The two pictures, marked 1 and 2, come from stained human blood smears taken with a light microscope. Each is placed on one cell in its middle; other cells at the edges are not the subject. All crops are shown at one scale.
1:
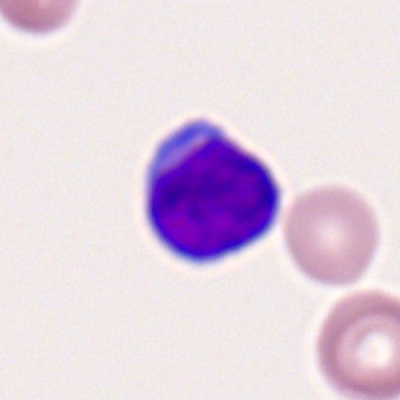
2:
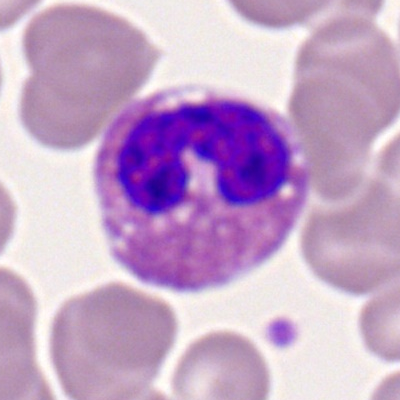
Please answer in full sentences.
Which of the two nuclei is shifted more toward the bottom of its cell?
Seen within its cell, the nucleus in picture 1 lies further toward the bottom.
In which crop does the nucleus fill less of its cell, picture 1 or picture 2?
Of the two, the nucleus in picture 2 leaves more room for cytoplasm.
